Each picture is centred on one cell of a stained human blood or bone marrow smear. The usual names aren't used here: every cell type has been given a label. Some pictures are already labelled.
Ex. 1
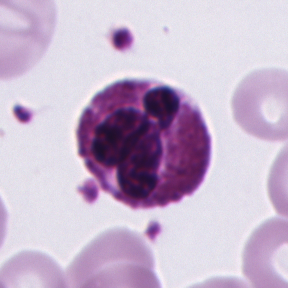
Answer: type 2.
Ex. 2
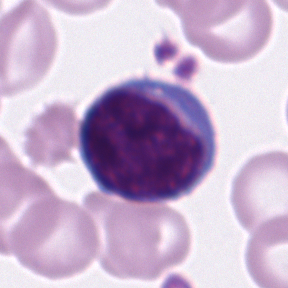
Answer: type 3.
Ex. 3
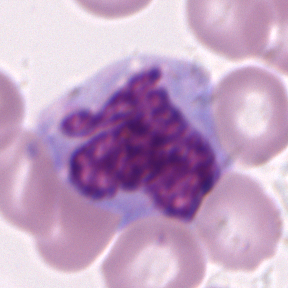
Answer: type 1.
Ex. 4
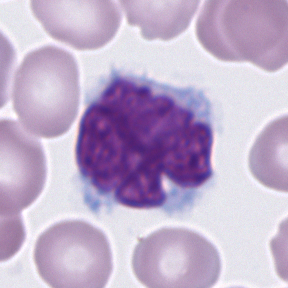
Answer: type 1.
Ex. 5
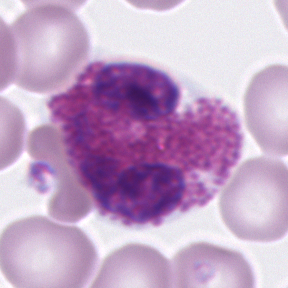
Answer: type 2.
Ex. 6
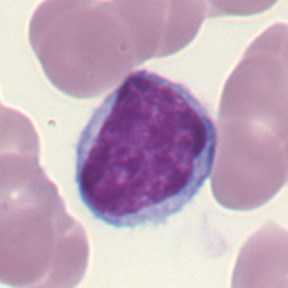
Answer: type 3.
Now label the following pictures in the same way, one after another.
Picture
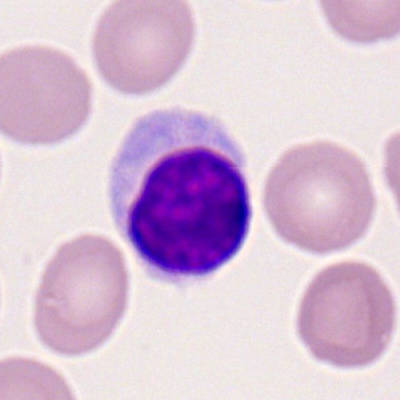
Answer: type 3.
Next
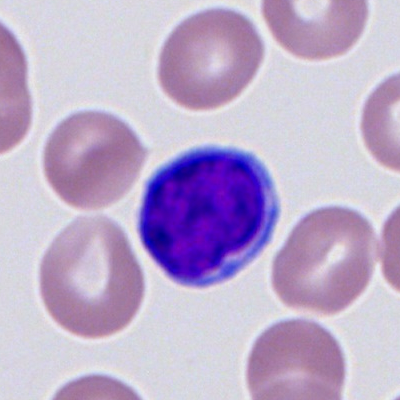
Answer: type 3.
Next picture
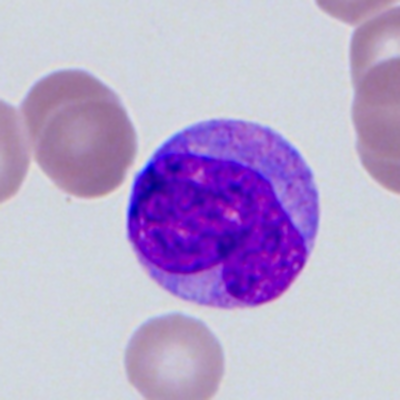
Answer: type 1.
